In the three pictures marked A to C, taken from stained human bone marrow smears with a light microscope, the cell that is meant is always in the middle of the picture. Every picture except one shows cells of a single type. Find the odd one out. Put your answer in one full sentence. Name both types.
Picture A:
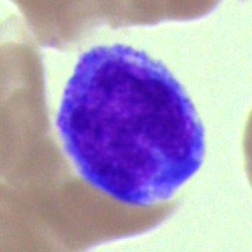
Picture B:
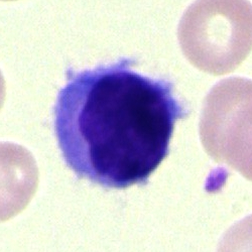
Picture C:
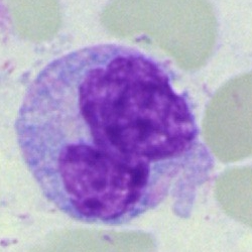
All pictures except B show monocytes; picture B shows a hairy cell.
